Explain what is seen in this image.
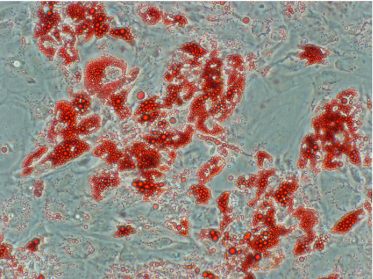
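Groups of rounded cells are packed with many small and larger red droplets that fill most of the cytoplasm. These droplet-filled cells lie in clusters and irregular patches across the dish. Between them are pale, flat, spindle-shaped cells that hold no red droplets and have not taken up the stain. The contrast between the red-laden clusters and the pale background cells shows that only part of the culture has formed fat droplets.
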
